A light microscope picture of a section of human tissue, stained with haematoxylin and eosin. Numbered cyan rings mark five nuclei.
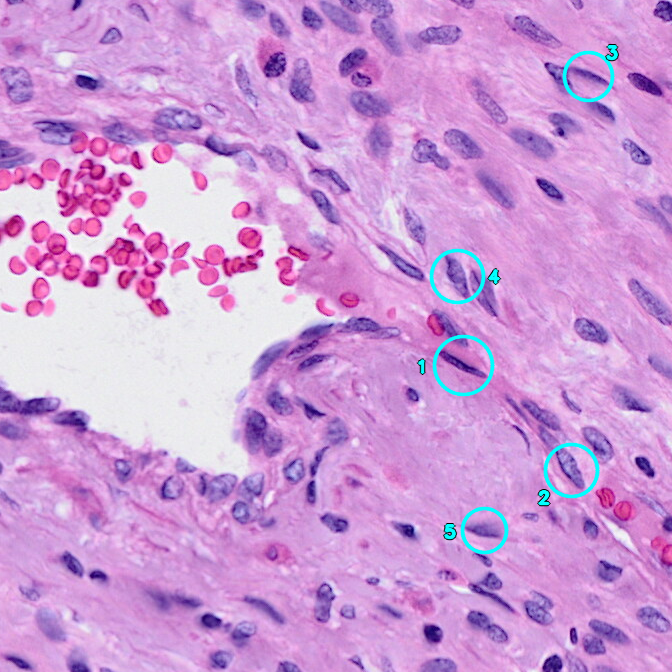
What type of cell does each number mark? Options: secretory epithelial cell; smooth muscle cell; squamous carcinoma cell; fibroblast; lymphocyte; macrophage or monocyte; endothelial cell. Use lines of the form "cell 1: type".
cell 1: endothelial cell
cell 2: endothelial cell
cell 3: fibroblast
cell 4: fibroblast
cell 5: fibroblast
